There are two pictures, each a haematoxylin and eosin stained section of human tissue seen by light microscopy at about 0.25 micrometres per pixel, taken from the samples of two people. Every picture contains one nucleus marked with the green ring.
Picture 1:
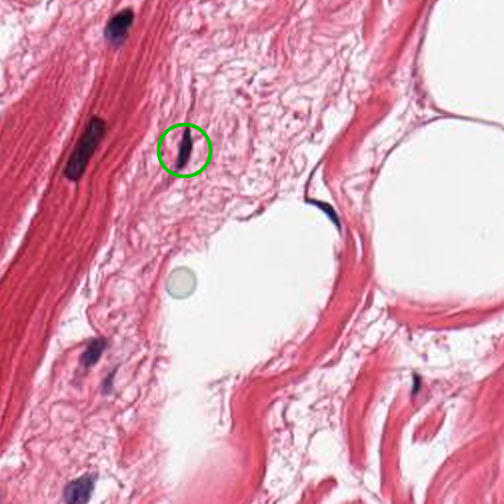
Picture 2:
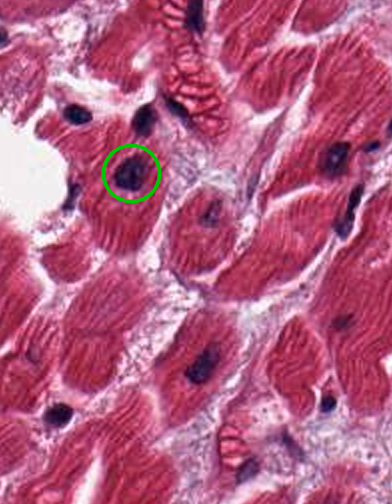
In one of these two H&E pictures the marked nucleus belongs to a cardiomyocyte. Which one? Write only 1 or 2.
2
